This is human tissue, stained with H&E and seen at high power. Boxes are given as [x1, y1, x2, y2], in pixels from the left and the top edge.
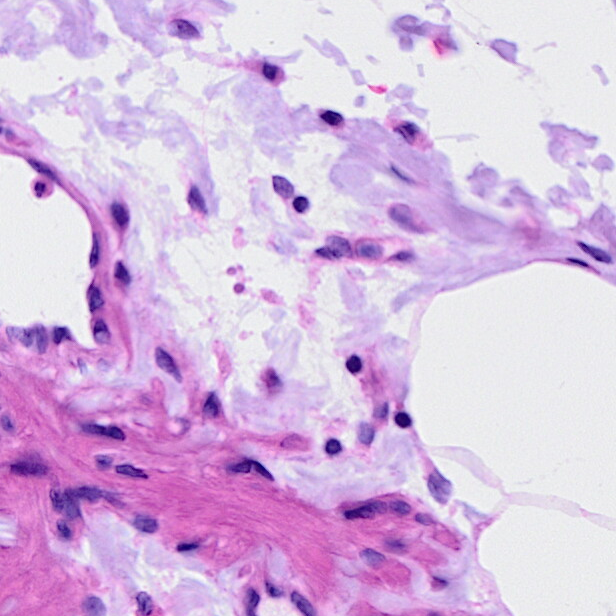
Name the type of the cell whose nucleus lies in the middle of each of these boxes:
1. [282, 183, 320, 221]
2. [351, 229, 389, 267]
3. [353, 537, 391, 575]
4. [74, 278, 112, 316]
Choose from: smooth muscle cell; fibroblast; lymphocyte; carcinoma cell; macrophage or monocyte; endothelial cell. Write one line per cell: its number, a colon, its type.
1: lymphocyte
2: endothelial cell
3: smooth muscle cell
4: endothelial cell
